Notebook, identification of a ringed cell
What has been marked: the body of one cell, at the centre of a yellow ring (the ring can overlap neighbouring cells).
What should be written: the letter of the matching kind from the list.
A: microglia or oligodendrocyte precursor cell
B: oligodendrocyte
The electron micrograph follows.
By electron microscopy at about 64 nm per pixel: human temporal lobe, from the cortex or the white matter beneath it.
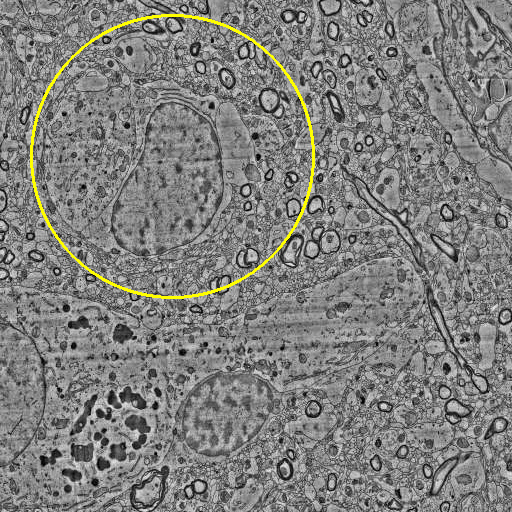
A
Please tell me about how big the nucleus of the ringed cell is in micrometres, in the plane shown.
The nucleus is approximately 10 micrometers long by 6 micrometers wide in this plane.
